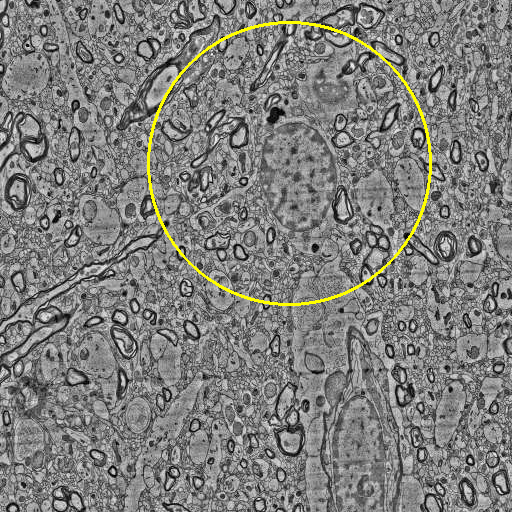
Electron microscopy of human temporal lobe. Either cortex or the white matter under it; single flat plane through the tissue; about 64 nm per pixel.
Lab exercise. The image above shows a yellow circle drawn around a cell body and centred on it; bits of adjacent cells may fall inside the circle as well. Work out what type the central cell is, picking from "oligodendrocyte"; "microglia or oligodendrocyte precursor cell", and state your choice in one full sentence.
In the image above, the cell at the centre of the yellow circle is an oligodendrocyte.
